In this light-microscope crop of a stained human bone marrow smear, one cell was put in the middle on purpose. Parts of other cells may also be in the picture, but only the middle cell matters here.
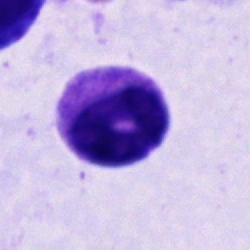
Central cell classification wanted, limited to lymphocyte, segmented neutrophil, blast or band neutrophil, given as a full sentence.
The central cell shown in this smear crop is a band neutrophil.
